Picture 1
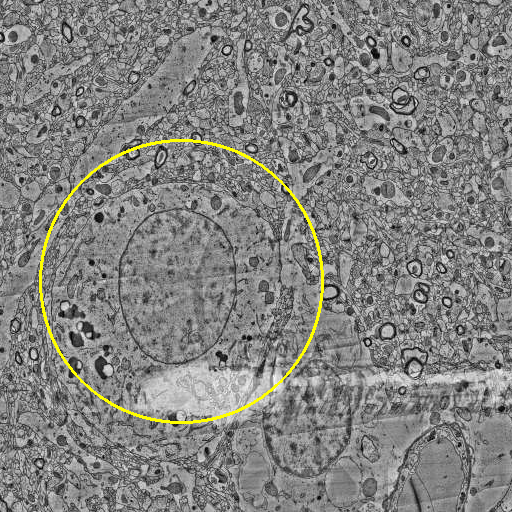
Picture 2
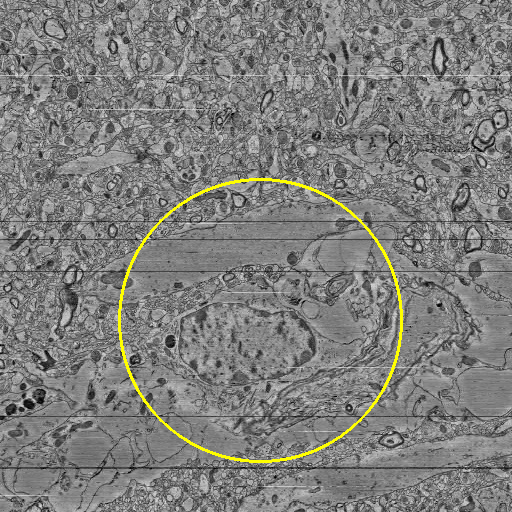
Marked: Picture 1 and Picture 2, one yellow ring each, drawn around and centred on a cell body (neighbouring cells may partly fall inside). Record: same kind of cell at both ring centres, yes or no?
no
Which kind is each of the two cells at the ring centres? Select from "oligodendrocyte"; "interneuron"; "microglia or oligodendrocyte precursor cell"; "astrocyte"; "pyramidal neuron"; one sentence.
The cell at the centre of the ring is a pyramidal neuron in the first picture and a microglial cell or oligodendrocyte precursor cell in the second.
